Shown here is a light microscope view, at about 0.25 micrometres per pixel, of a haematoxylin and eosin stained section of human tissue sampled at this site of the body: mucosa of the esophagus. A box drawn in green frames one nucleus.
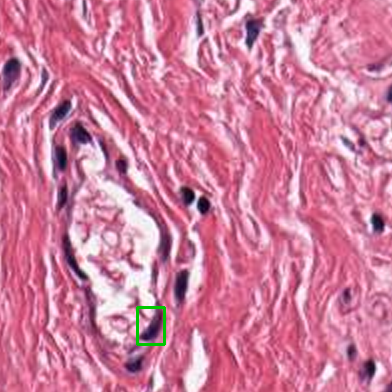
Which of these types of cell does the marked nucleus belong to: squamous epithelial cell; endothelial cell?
endothelial cell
